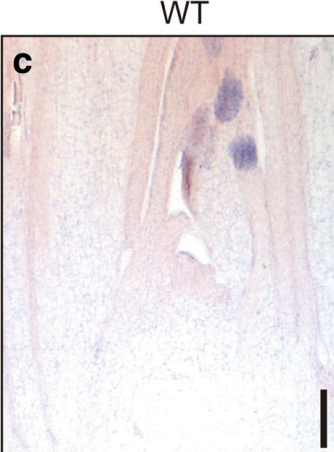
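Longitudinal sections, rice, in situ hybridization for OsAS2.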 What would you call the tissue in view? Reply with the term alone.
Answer: Basal portions of shoots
